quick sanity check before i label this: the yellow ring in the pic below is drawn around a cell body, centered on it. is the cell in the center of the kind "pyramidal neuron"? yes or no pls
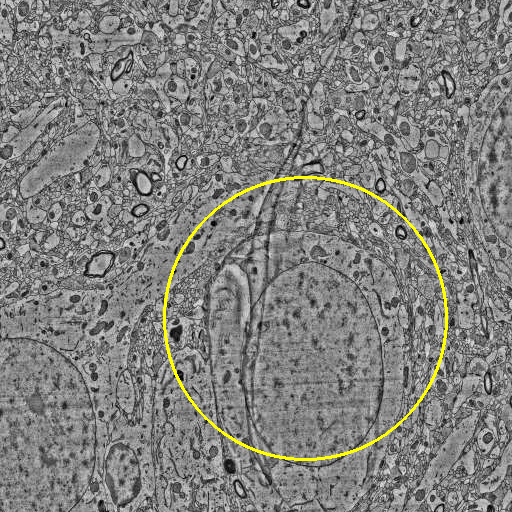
yes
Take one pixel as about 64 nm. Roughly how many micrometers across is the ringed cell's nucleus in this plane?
The nucleus comes to roughly 13 by 9 micrometres in this plane.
